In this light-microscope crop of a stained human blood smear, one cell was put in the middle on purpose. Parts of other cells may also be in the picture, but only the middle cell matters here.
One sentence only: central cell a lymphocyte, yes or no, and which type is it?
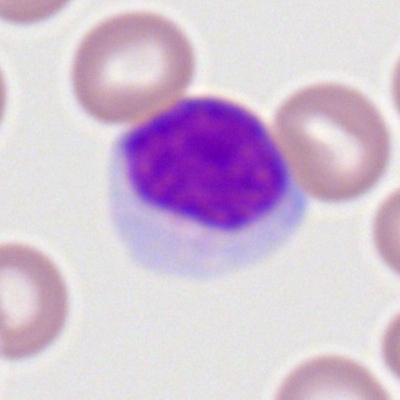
Yes, the middle cell is properly termed a lymphocyte.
